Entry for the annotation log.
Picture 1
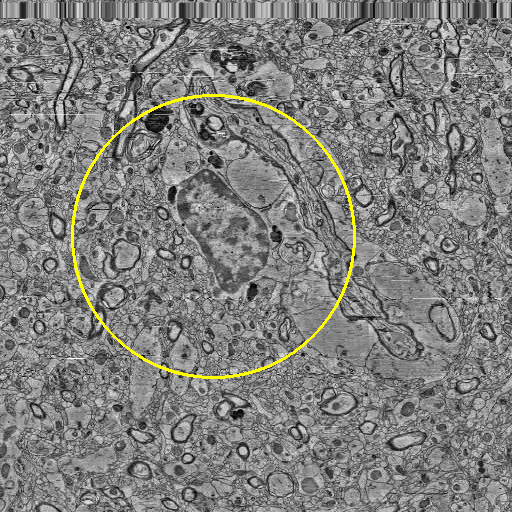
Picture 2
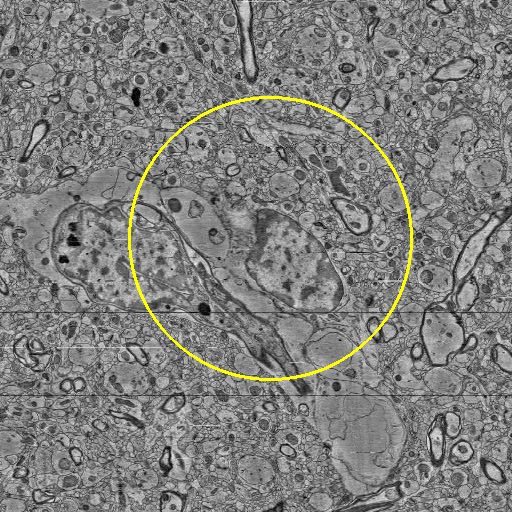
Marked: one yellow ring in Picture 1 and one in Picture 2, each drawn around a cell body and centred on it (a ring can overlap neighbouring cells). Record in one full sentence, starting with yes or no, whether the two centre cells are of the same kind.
Yes, both cells are of the same kind.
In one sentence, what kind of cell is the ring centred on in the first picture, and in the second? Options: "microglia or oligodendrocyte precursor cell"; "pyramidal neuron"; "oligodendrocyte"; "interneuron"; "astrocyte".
The first and the second cell are each a microglial cell or oligodendrocyte precursor cell.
